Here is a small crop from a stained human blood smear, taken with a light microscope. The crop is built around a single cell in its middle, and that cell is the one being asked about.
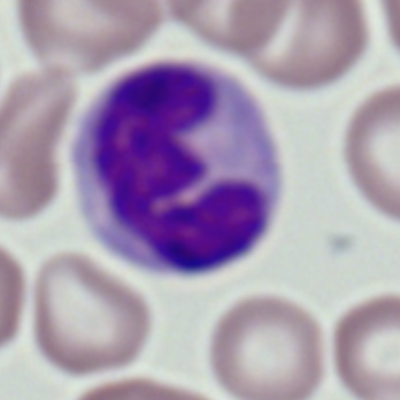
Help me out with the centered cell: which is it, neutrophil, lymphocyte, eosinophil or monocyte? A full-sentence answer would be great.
The centrally located cell in the crop is a monocyte.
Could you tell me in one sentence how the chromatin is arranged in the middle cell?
Its nuclear chromatin is gathered into coarse clumps.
